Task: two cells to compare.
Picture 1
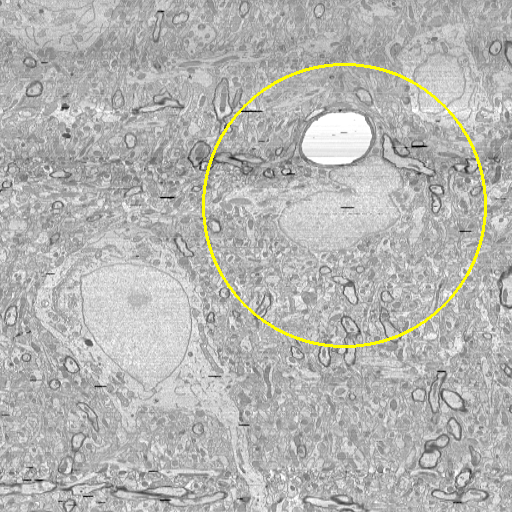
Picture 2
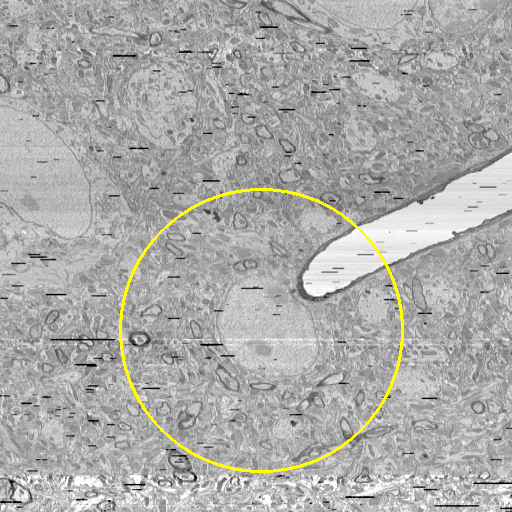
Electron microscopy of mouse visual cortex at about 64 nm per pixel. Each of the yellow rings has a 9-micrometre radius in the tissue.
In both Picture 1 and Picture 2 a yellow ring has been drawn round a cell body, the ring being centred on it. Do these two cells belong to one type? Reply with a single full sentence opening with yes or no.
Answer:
Yes, the two cells at the ring centres in Picture 1 and Picture 2 share one type.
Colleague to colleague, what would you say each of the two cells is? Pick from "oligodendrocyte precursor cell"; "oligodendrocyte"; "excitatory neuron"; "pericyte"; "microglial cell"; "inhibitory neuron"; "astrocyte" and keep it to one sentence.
Each of the ringed cells, first and second, is an astrocyte.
